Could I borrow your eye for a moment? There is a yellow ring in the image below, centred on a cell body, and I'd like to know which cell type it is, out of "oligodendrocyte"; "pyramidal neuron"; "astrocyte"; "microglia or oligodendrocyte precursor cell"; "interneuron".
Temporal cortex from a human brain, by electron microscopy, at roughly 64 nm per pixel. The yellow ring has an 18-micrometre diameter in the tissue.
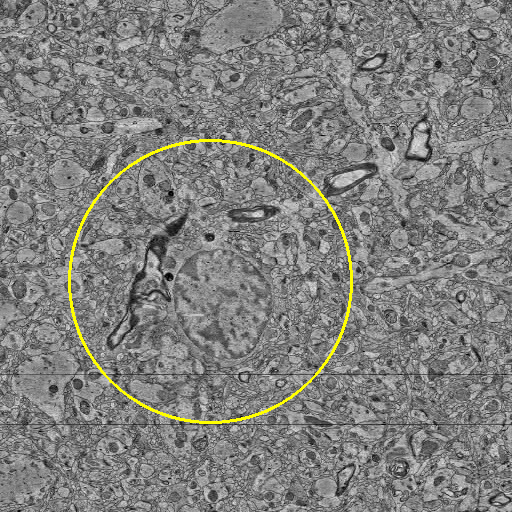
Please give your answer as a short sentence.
The cell body at the centre is that of an oligodendrocyte.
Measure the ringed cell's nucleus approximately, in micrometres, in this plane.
In this plane the nucleus spans approximately 7 by 6 micrometers.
